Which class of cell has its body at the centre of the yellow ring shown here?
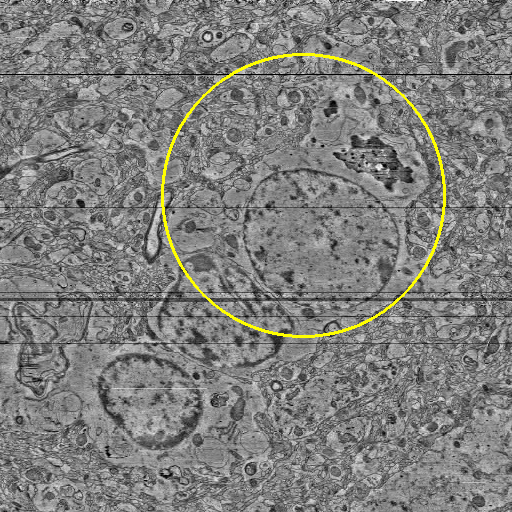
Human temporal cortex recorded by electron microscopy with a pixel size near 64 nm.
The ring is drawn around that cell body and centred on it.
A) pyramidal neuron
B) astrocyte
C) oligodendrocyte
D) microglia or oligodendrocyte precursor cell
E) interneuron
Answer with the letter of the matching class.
B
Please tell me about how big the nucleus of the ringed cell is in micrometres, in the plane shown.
Approximately 11 micrometres long and 9 micrometres wide, in this plane.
